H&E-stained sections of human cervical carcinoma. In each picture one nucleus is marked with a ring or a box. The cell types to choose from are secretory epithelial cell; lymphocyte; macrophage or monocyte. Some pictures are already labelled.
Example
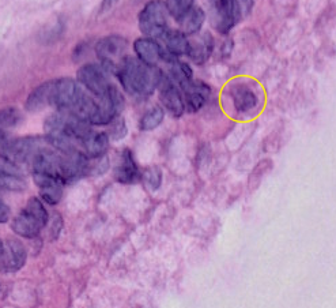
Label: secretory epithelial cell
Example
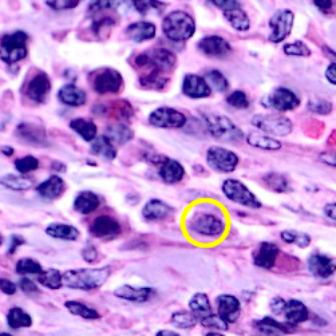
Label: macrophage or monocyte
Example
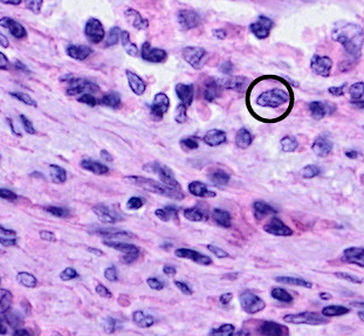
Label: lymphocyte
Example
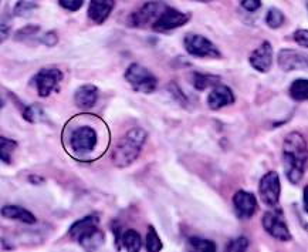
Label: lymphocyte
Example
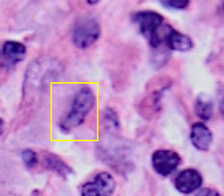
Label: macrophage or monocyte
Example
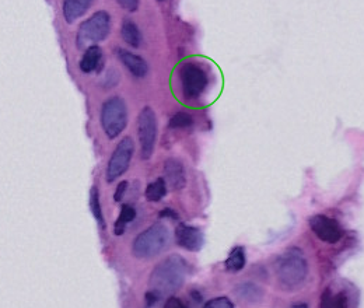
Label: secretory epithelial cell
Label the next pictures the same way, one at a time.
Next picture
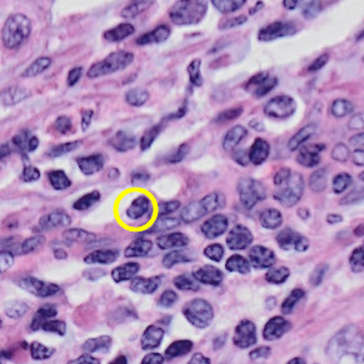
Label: lymphocyte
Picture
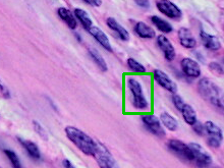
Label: lymphocyte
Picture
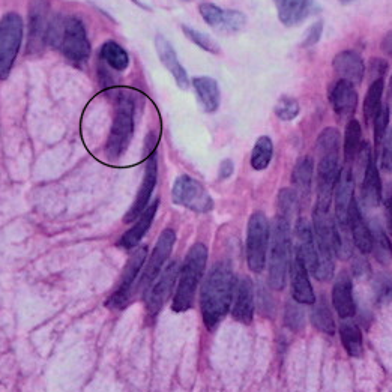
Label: secretory epithelial cell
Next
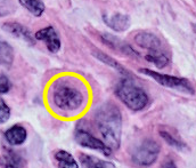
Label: macrophage or monocyte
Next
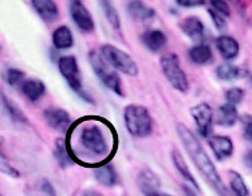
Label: lymphocyte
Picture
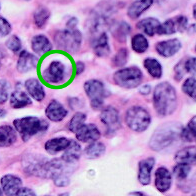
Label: lymphocyte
